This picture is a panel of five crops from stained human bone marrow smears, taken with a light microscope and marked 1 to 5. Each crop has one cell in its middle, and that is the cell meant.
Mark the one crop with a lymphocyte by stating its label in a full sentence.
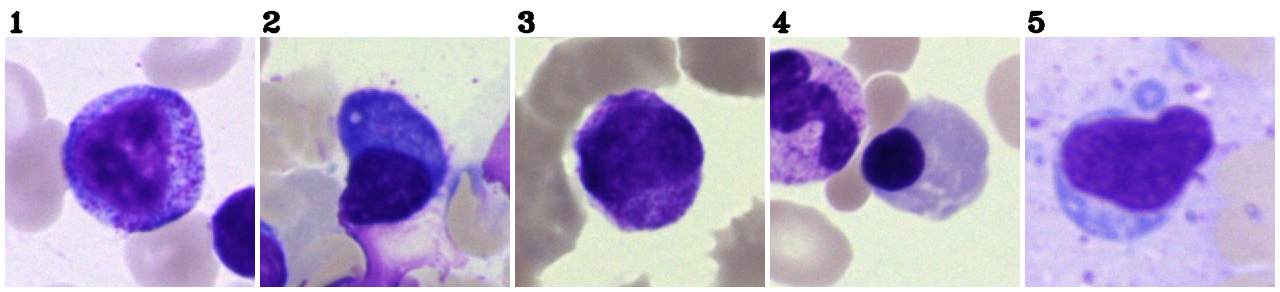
Of these crops, it is crop 5 that shows a lymphocyte.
